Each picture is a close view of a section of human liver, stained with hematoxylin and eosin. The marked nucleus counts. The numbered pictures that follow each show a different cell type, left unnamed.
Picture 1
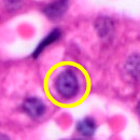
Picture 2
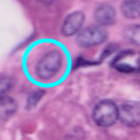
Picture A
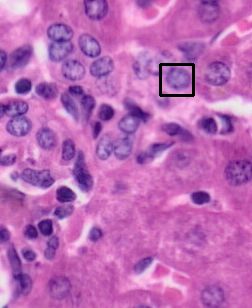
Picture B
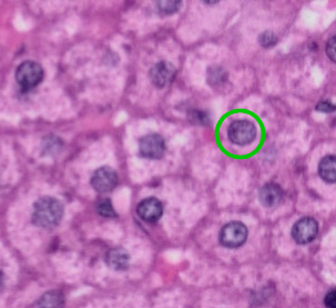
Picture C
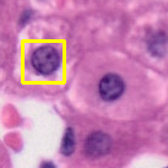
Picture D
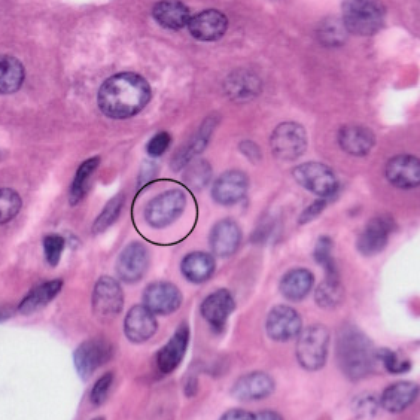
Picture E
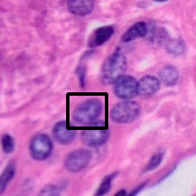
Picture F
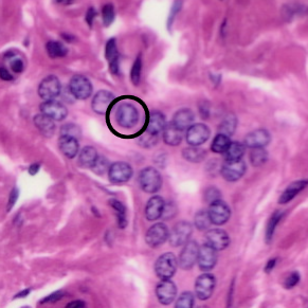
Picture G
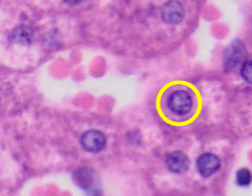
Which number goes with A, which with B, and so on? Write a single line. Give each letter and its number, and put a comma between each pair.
A 2, B 1, C 1, D 2, E 2, F 2, G 1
